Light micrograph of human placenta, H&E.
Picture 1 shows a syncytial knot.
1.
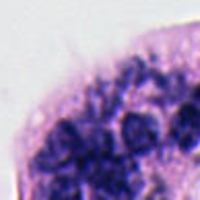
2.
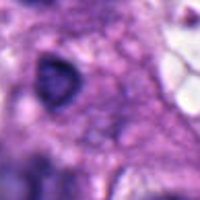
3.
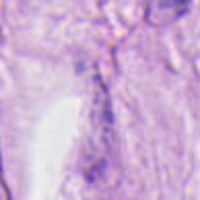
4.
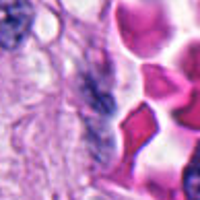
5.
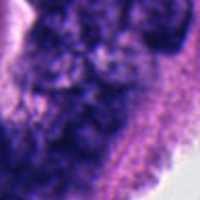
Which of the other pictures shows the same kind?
Picture 5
